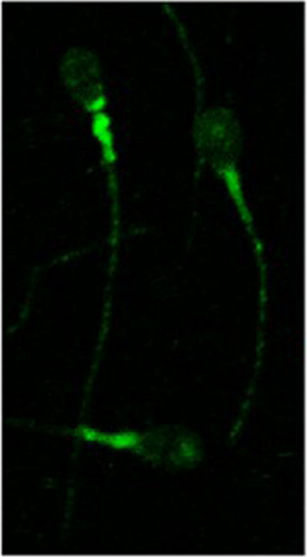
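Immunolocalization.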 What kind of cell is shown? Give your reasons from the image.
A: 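Spermatozoa. Small oval heads with long thin threadlike tails outlined by green fluorescence. Brightest green just behind the heads.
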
